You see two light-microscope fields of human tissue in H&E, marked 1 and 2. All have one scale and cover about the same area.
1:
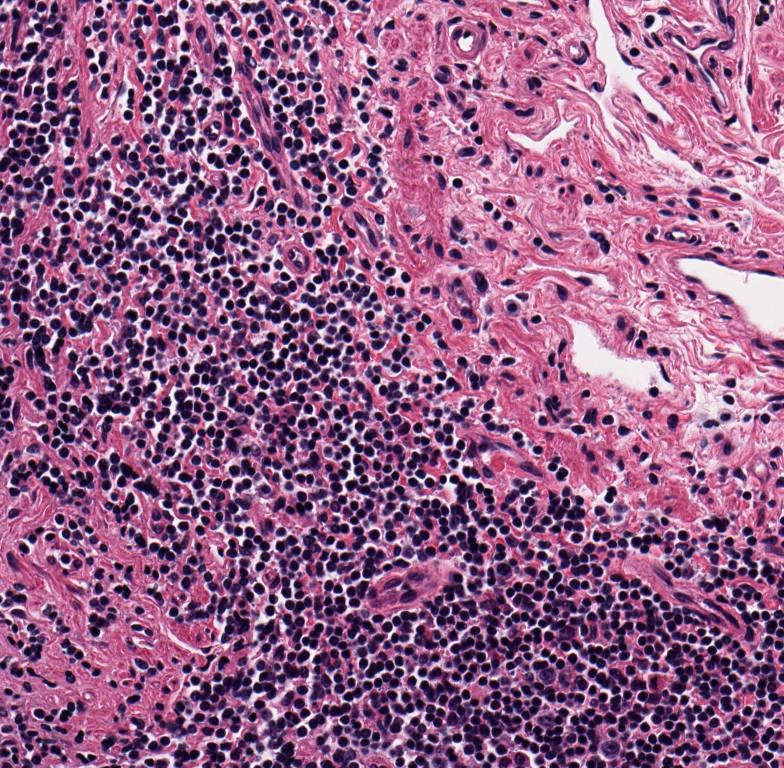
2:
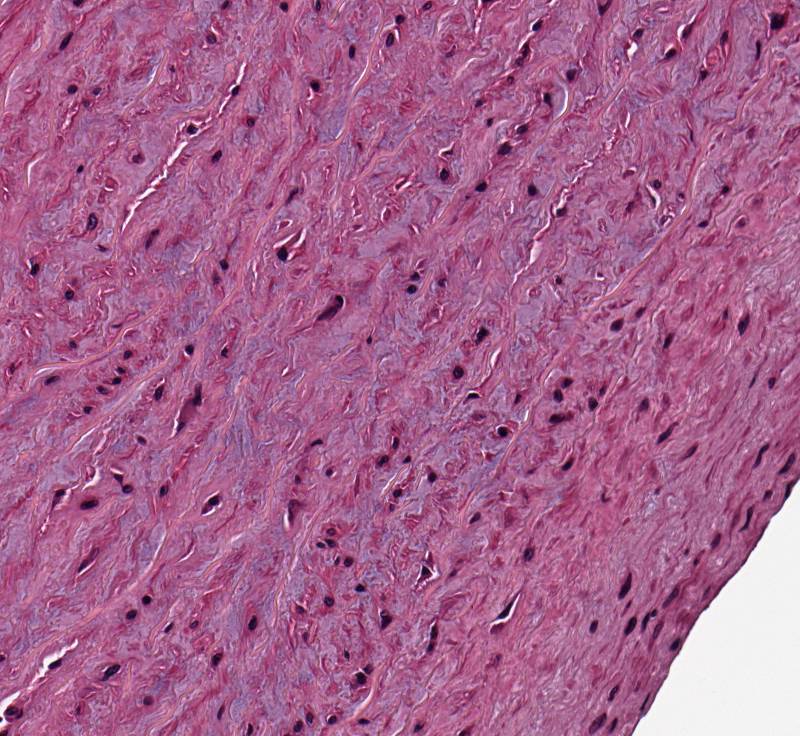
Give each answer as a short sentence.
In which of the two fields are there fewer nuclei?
There are fewer nuclei in picture 2.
